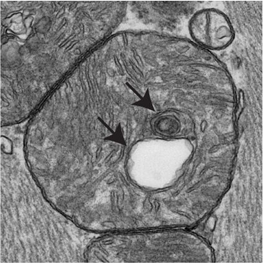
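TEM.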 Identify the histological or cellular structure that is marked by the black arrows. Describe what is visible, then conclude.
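Small round membrane-bound bodies lie inside the mitochondrial matrix. A pale cleared vacuole sits beside them within the mitochondrion.
Inclusions.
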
